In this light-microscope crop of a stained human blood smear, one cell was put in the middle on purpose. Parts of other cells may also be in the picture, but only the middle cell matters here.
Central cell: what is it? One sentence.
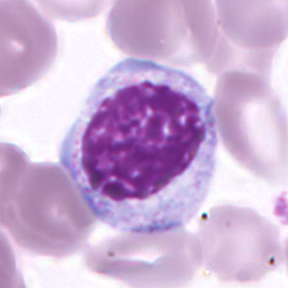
In short, the cell at the center is a myelocyte.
